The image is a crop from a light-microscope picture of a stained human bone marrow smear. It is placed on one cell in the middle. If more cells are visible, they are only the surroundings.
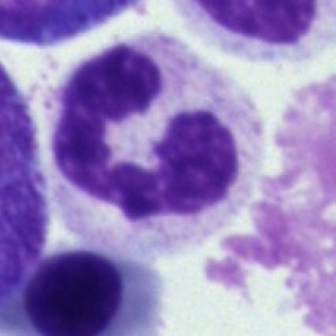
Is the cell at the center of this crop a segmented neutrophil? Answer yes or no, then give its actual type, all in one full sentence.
Yes, the cell in the middle is rightly called a segmented neutrophil.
